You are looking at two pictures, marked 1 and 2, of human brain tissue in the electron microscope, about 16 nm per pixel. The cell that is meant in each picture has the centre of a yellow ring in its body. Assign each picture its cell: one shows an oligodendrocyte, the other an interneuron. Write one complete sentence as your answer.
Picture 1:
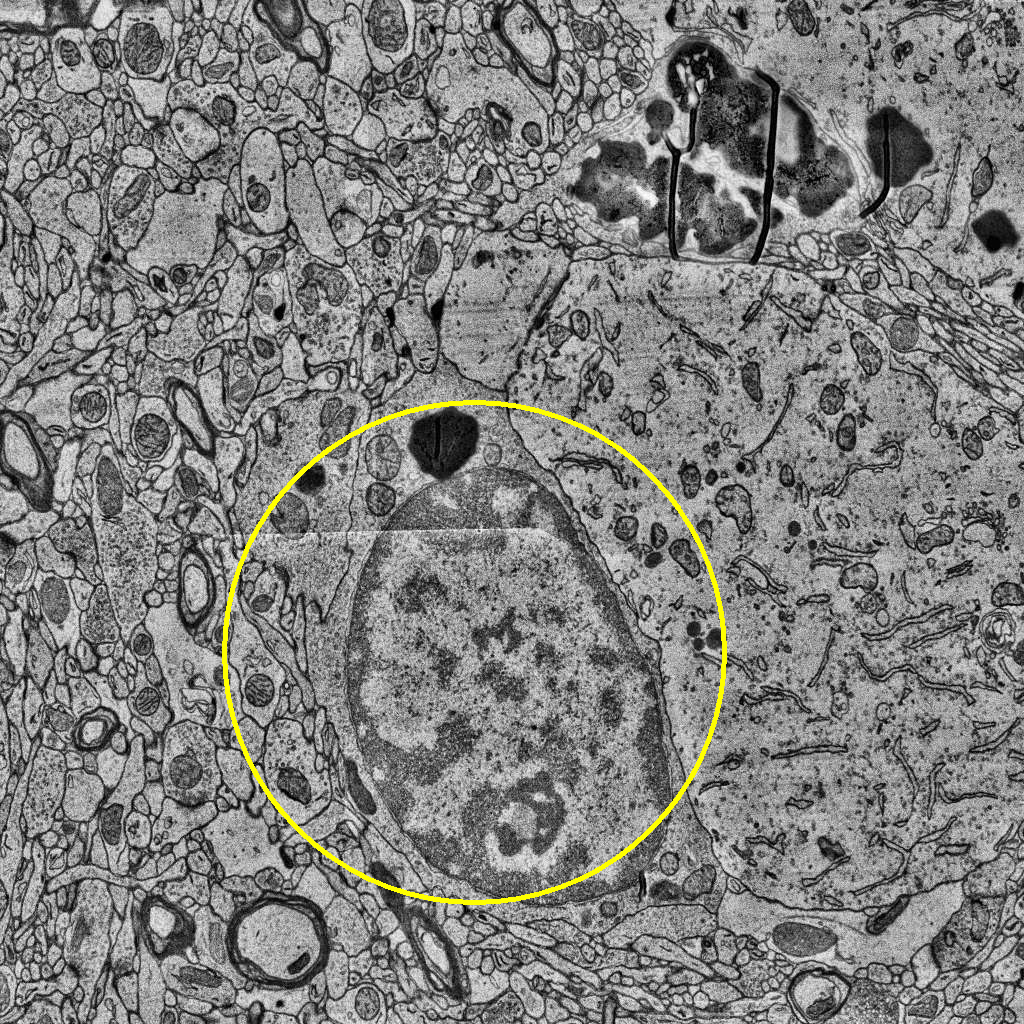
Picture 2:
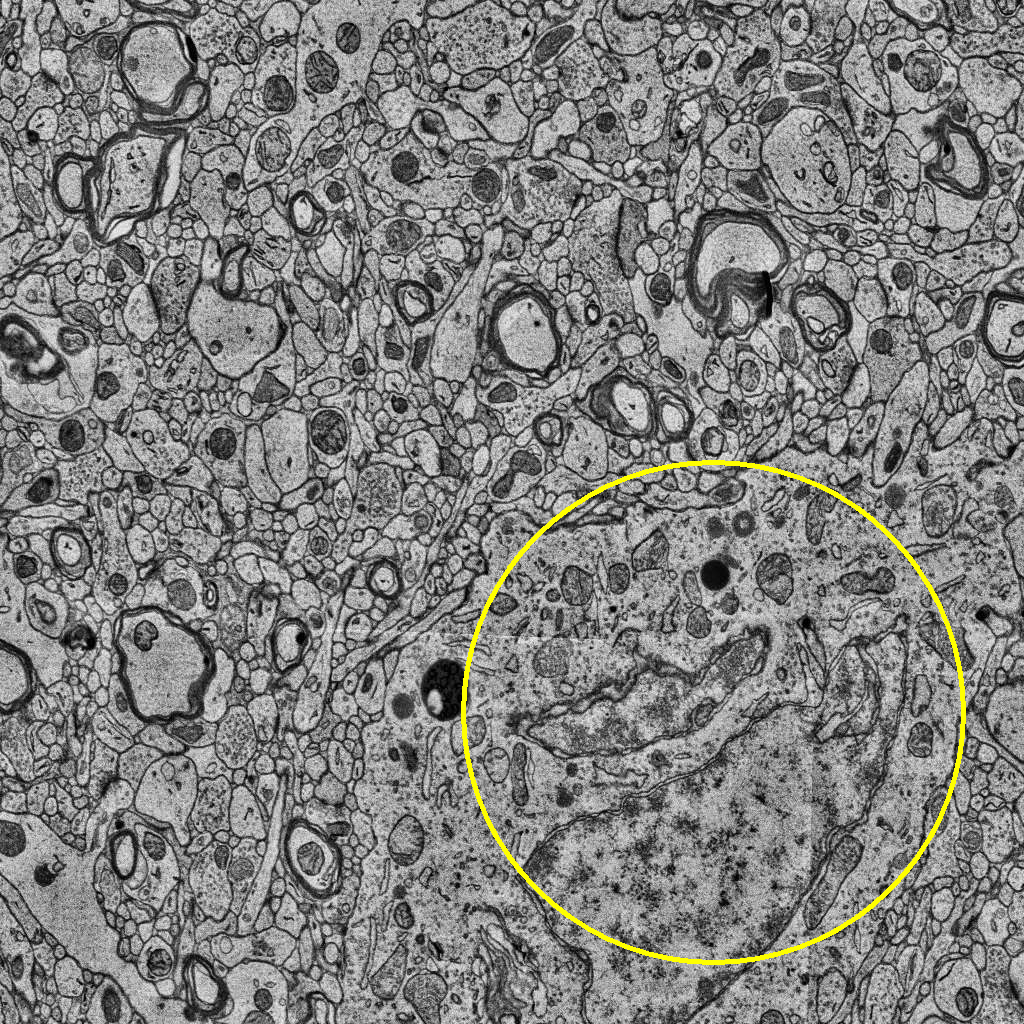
Picture 1 shows an oligodendrocyte and picture 2 shows an interneuron.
